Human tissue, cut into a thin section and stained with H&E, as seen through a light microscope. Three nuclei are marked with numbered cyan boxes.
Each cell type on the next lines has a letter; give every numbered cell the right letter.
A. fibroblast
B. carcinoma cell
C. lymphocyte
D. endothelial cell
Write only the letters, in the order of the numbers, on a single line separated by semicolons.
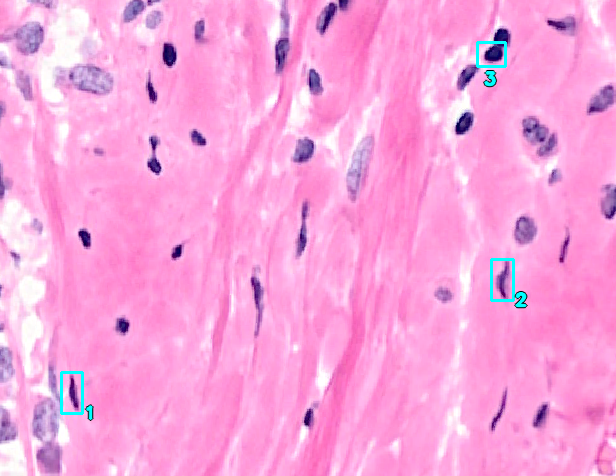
A; A; C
